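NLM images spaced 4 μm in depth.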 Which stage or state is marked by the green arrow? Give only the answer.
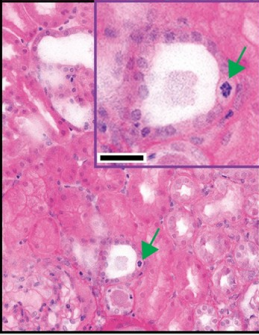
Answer: mitotic figure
